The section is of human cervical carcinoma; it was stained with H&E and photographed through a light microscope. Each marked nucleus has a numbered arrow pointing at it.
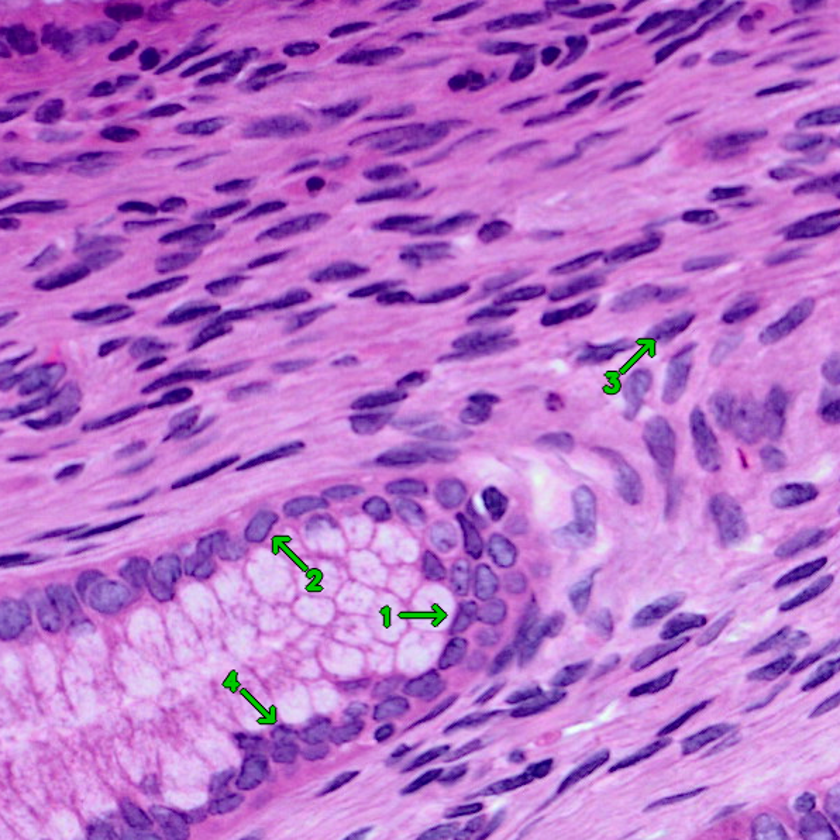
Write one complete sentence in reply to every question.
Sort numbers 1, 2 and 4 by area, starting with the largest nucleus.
Going from the biggest nucleus down to the smallest gives 2, 1, 4.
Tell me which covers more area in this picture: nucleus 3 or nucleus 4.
Of the two, number 3 is bigger and takes up about 2 times the area of number 4.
